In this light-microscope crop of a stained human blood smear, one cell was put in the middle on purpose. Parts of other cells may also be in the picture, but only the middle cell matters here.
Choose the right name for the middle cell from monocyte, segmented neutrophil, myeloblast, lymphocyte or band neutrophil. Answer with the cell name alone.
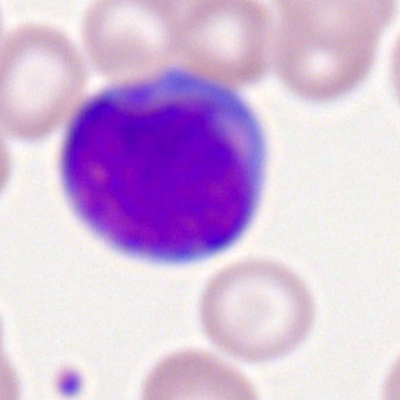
myeloblast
